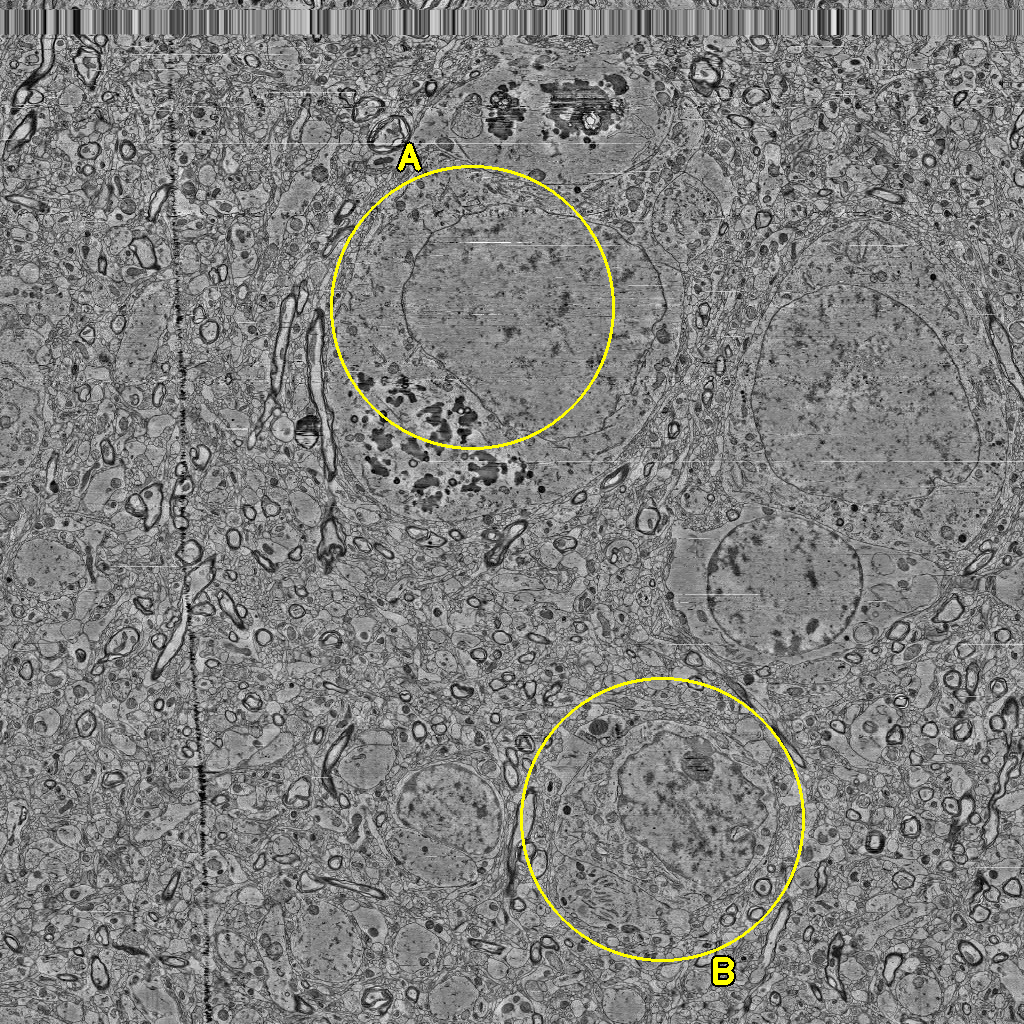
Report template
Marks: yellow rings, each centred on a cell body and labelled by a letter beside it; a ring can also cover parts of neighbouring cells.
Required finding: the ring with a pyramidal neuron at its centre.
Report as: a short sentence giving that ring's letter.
Ring A holds that cell at its centre.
